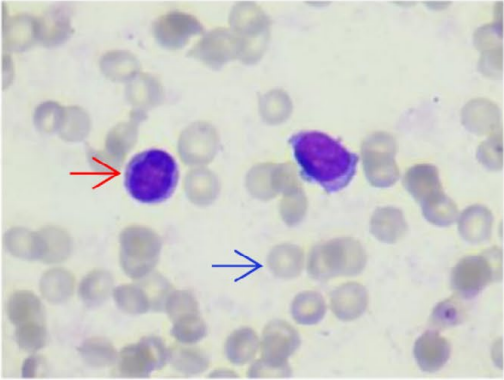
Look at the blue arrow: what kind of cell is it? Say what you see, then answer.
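Red blood cells. Round grey-pink discs without nuclei. Many cells of uniform size fill the field. Paler centres in the discs.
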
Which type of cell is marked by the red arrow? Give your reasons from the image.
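A round cell a little larger than the surrounding red cells. A dense purple nucleus takes up most of the cell. Only a thin rim of cytoplasm is visible.
Answer: lymphocytes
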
